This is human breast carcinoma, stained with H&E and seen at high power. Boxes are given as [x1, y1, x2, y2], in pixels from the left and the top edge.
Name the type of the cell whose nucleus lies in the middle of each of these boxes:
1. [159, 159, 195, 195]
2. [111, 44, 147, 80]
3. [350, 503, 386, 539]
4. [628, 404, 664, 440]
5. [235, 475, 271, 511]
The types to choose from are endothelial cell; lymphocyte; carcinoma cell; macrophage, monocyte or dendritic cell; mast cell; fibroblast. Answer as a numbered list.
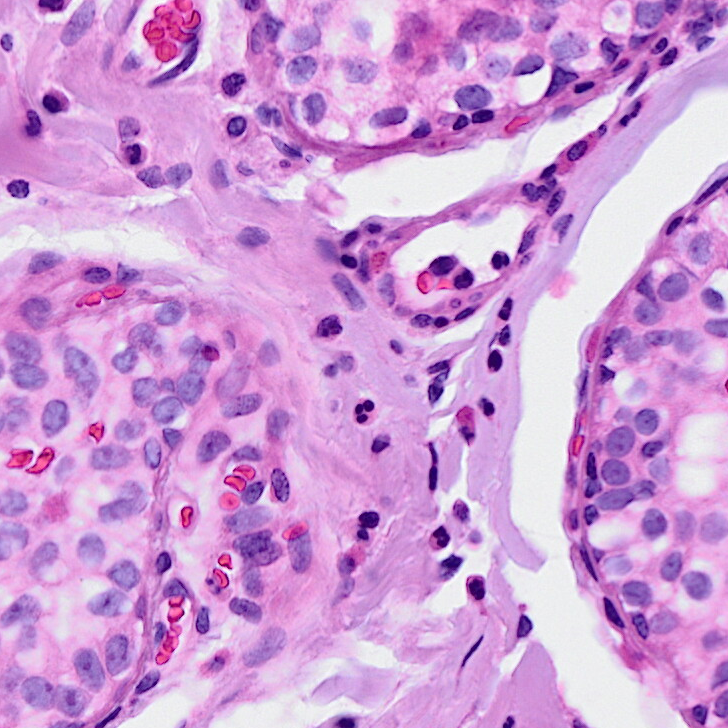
1. fibroblast
2. endothelial cell
3. lymphocyte
4. carcinoma cell
5. endothelial cell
